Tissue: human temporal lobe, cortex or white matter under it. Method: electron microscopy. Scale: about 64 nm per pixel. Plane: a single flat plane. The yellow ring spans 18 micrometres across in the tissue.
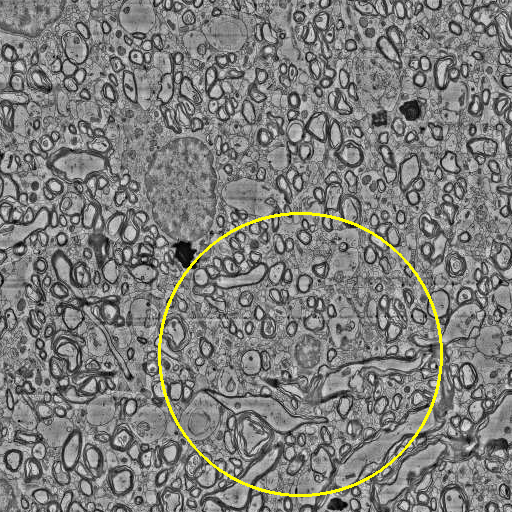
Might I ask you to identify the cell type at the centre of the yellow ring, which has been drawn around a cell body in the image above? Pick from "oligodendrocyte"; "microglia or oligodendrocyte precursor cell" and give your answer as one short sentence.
The centre of the ring falls on an oligodendrocyte.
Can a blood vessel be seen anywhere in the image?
No, there is no blood vessel.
